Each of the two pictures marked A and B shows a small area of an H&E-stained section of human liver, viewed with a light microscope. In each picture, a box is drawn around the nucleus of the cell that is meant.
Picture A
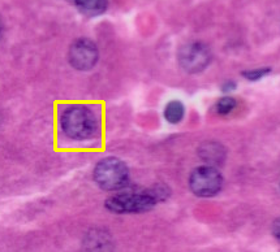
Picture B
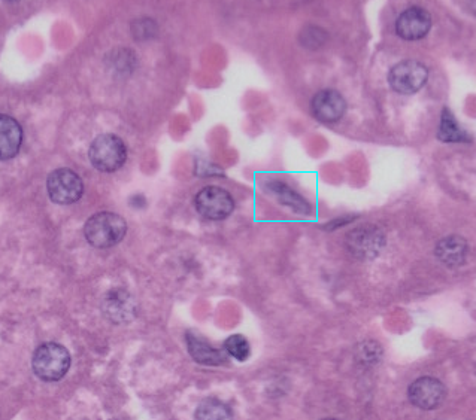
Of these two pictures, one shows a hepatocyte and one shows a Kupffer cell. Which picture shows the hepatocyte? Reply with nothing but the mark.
A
